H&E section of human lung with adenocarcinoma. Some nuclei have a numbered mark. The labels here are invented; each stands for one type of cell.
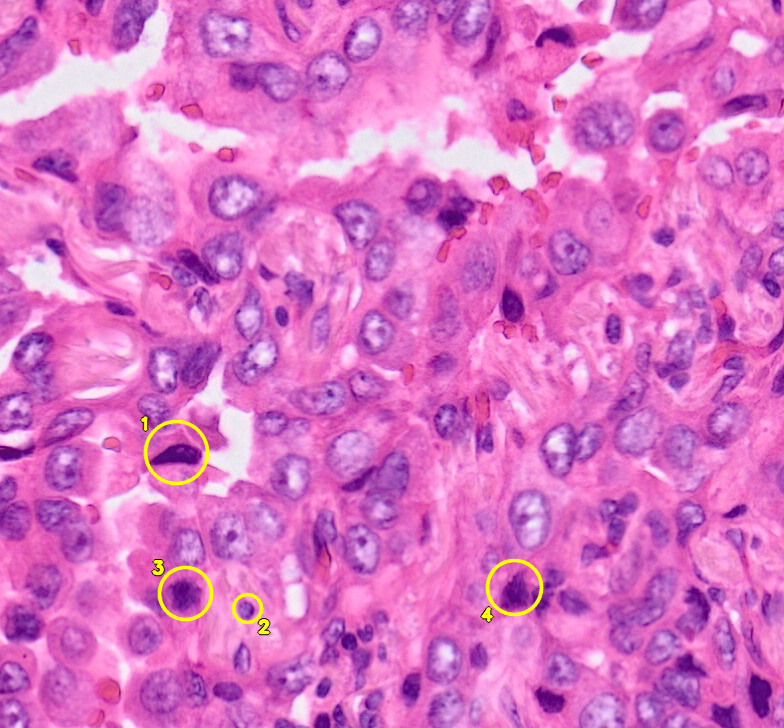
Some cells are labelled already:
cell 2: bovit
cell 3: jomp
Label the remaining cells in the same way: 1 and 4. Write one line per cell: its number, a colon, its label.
1: jomp
4: jomp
